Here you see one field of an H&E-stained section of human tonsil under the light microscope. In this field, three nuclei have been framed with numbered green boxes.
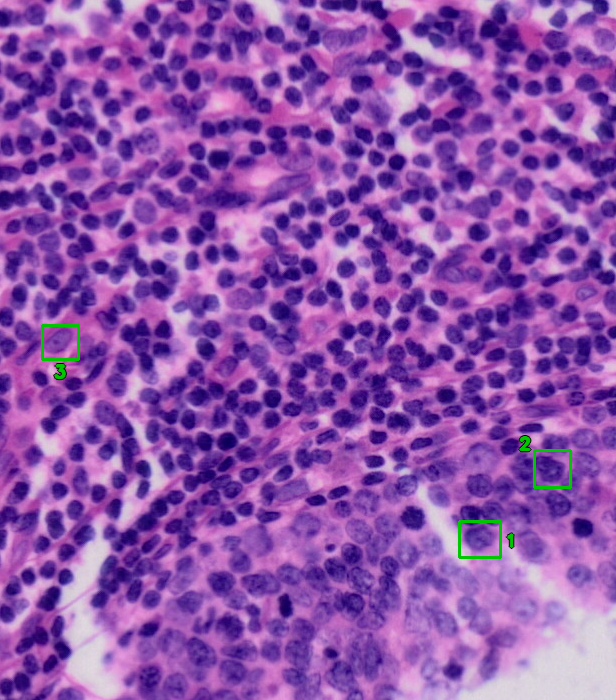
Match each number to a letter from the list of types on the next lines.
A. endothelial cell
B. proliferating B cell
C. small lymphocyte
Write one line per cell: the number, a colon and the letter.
1: B
2: B
3: A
